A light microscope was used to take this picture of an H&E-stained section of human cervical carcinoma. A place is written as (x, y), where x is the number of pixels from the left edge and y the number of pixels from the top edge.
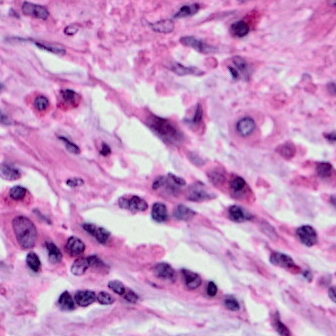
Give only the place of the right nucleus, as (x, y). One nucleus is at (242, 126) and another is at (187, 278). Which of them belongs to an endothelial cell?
(242, 126)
